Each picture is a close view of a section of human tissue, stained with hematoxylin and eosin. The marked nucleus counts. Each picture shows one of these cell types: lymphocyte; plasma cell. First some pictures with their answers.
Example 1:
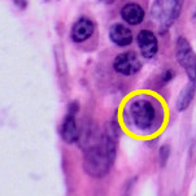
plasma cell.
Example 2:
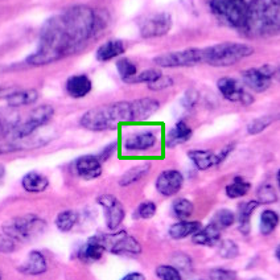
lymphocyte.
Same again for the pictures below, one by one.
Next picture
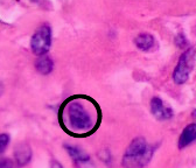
plasma cell.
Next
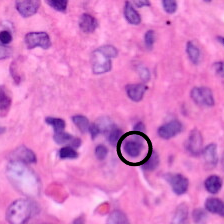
lymphocyte.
